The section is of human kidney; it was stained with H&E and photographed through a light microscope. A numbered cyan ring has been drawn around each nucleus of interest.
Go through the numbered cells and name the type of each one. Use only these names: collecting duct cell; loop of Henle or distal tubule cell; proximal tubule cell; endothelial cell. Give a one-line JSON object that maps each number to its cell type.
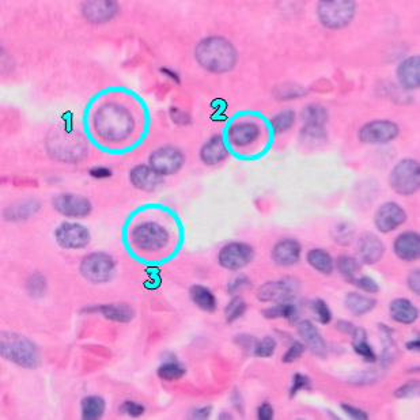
{"1": "proximal tubule cell", "2": "loop of Henle or distal tubule cell", "3": "loop of Henle or distal tubule cell"}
